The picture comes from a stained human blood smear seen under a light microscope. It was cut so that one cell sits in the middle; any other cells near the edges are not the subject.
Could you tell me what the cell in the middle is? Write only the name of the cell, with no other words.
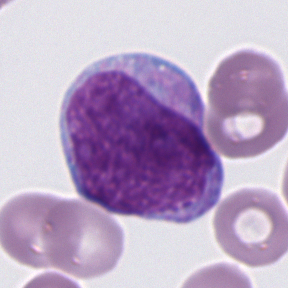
atypical promyelocyte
